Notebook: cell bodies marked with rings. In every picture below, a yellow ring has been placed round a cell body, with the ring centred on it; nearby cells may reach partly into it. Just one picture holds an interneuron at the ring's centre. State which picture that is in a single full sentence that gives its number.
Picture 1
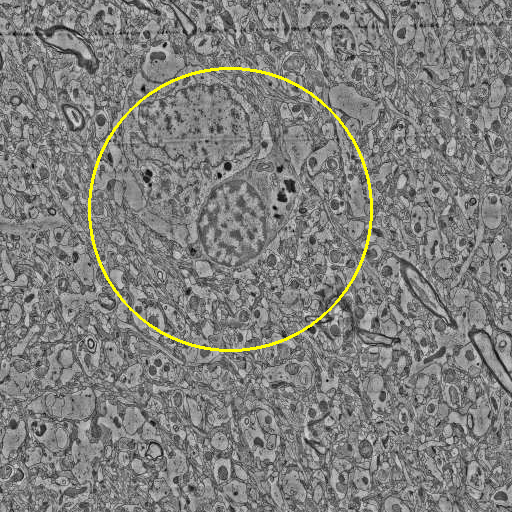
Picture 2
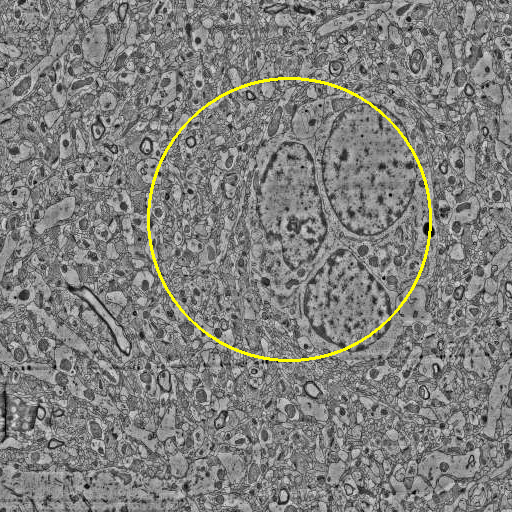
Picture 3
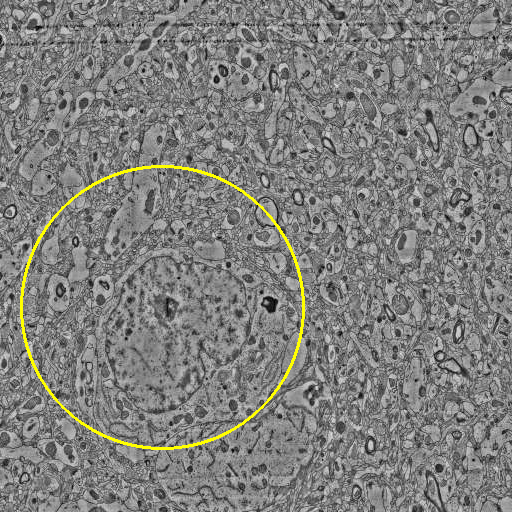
It is picture 3 whose ring has the wanted cell right at its centre.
